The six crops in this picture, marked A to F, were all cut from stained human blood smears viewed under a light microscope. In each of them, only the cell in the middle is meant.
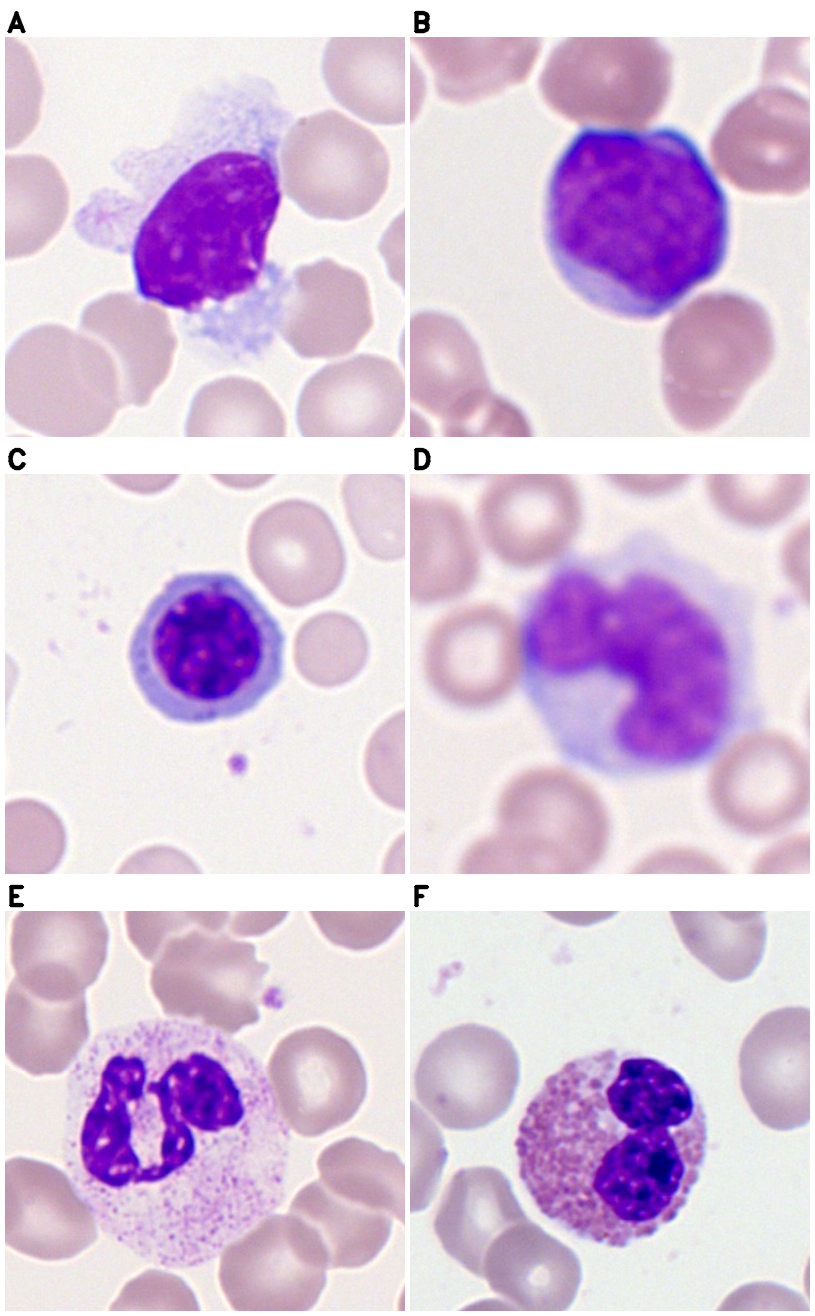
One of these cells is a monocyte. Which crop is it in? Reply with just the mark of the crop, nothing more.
D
